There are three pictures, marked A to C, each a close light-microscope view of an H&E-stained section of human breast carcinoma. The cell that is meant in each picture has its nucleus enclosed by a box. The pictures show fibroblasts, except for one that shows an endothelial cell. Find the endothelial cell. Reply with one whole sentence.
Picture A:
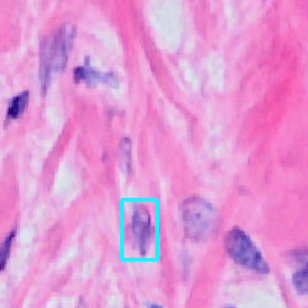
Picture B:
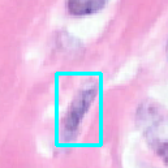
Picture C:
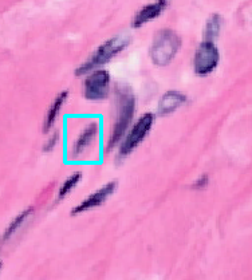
It is picture C that shows the endothelial cell.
